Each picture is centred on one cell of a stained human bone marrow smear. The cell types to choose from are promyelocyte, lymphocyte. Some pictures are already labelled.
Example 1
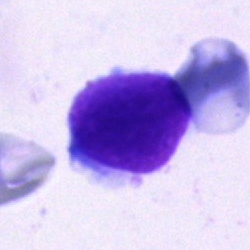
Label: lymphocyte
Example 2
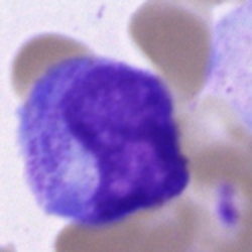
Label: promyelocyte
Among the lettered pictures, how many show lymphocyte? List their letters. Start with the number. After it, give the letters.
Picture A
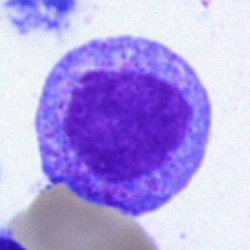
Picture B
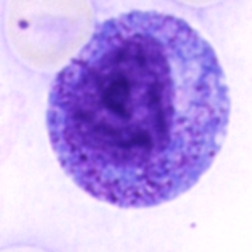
0, none of them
